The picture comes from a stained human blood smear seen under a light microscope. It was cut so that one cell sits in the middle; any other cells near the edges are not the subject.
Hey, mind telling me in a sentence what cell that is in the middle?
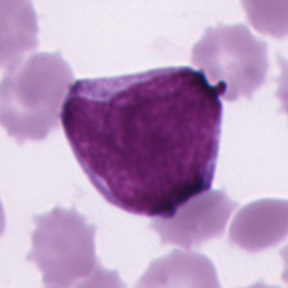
The cell of interest, in the center, is a myeloblast.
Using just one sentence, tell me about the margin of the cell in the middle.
The cell is outlined unevenly, the border being ragged or extended into projections.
